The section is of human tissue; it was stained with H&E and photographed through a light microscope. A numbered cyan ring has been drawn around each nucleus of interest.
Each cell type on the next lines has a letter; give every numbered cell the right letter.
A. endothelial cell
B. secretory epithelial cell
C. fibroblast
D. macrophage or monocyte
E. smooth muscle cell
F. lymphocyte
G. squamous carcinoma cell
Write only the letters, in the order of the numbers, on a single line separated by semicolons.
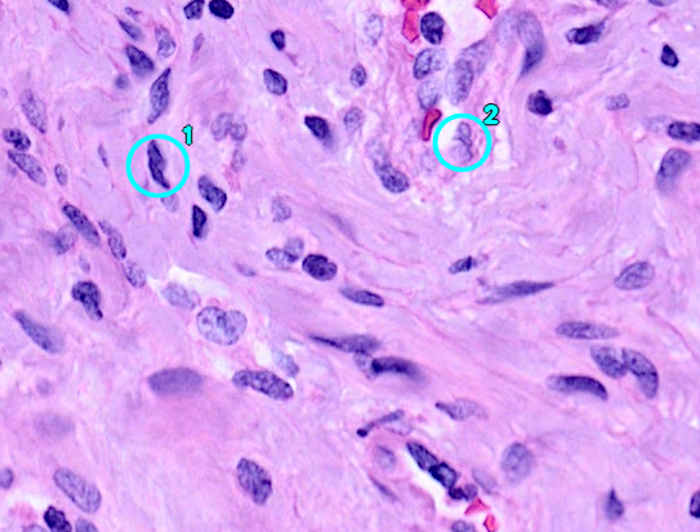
C; A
